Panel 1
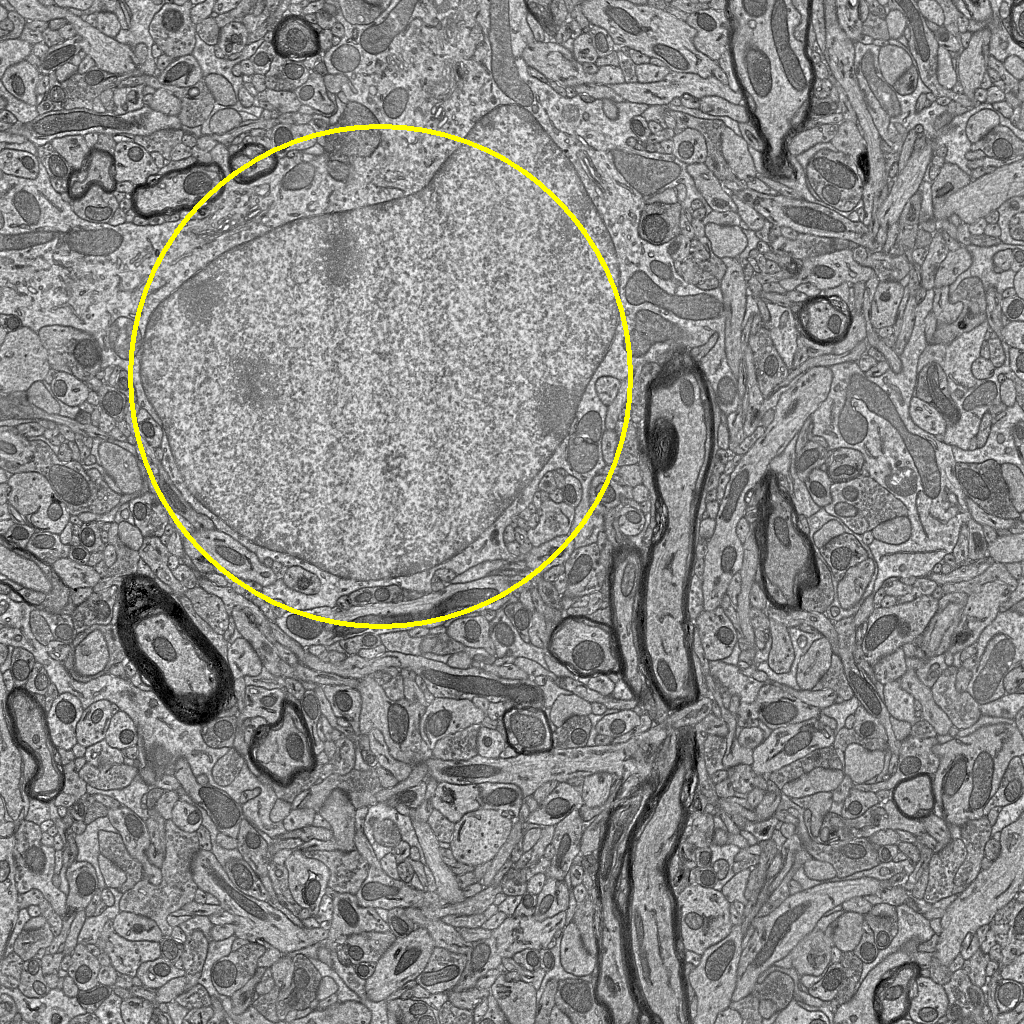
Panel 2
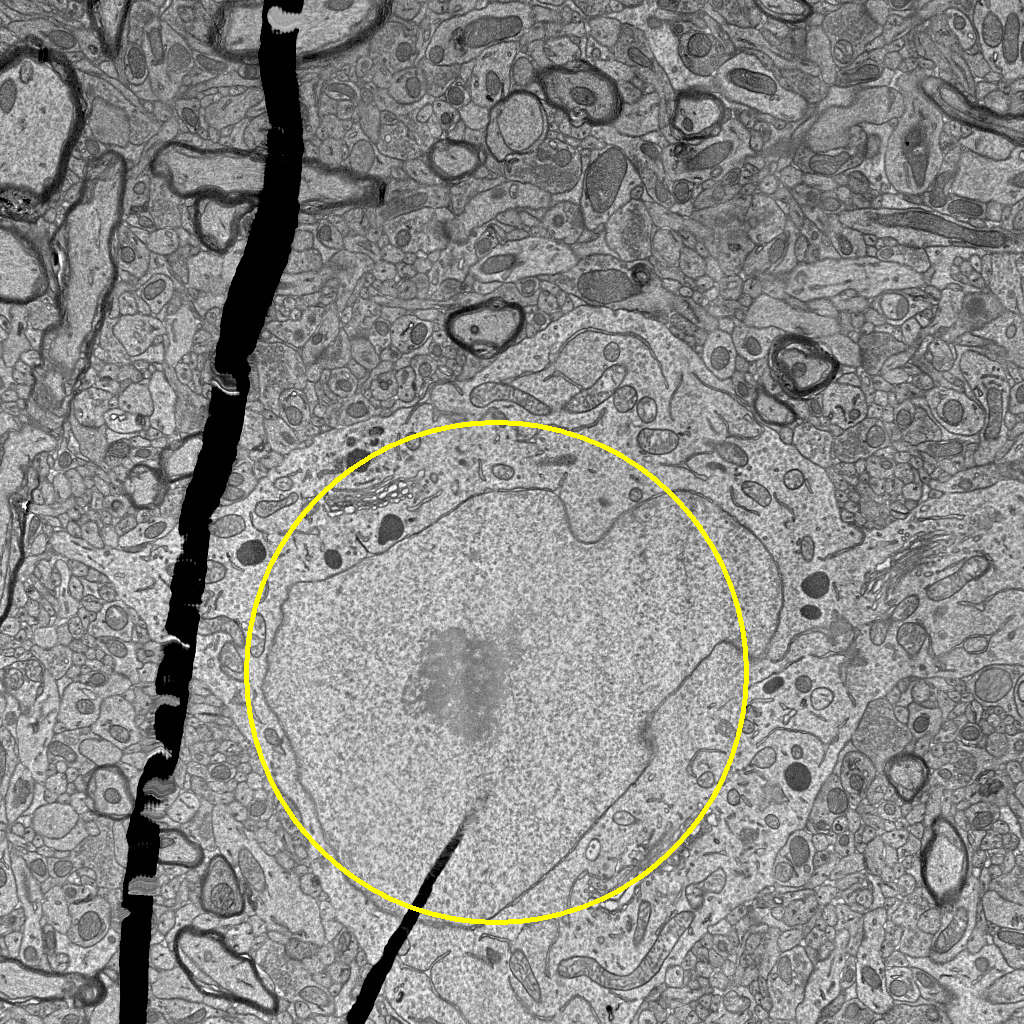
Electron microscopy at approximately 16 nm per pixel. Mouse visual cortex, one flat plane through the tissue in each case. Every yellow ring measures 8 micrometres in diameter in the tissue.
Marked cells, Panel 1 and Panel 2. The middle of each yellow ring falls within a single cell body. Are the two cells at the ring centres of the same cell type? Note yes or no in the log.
no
